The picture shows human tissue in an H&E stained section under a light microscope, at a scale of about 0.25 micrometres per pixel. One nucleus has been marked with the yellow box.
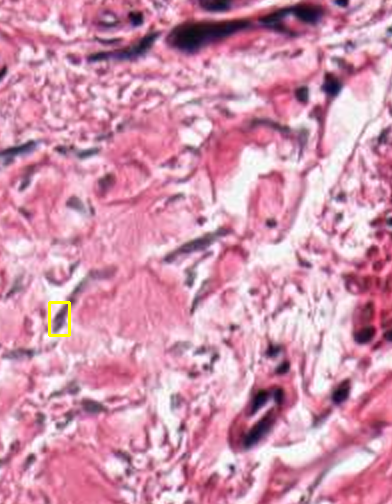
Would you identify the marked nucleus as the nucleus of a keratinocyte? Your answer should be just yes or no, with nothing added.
no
